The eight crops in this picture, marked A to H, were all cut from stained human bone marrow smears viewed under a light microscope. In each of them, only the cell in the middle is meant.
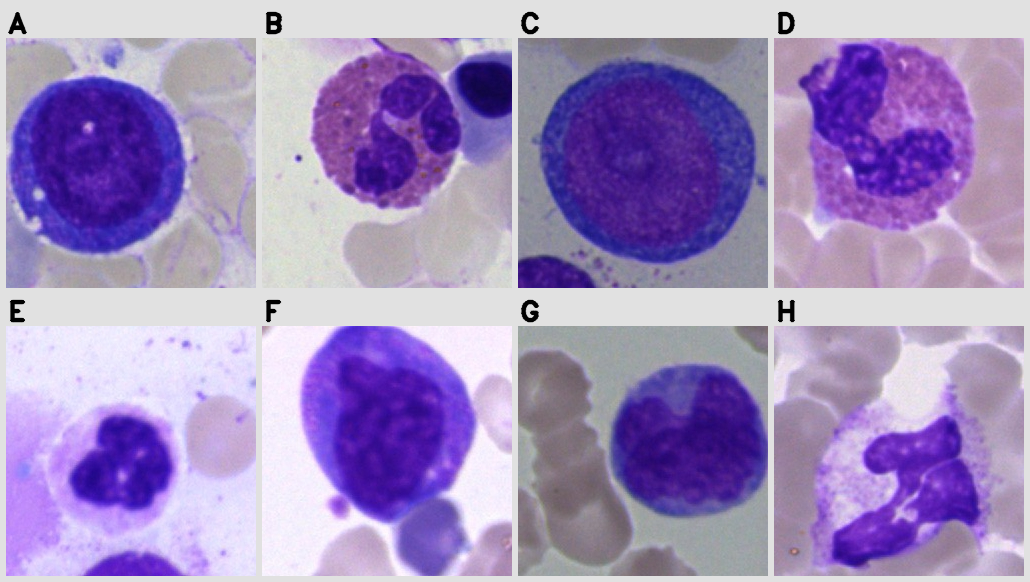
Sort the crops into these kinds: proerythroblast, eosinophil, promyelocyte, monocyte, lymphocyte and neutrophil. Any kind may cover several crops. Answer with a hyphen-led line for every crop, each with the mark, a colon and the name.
- A: promyelocyte
- B: eosinophil
- C: proerythroblast
- D: eosinophil
- E: neutrophil
- F: monocyte
- G: monocyte
- H: neutrophil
